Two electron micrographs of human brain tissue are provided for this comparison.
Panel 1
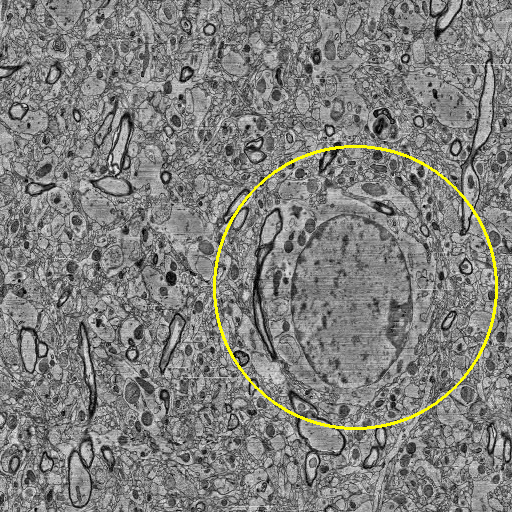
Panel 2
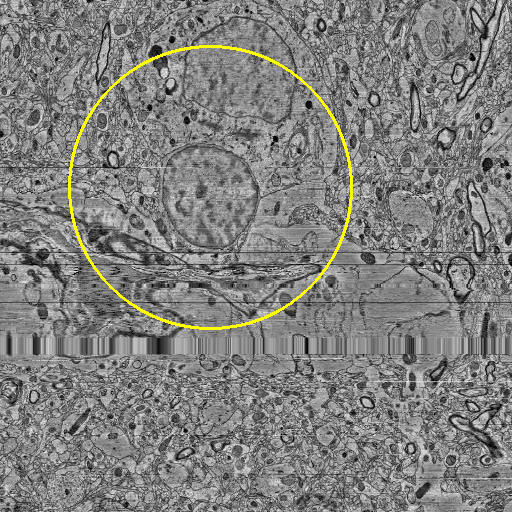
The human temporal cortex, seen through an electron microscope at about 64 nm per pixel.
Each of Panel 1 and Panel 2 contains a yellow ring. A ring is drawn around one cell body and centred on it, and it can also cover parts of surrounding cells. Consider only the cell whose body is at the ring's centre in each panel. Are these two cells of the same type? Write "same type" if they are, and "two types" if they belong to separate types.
two types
